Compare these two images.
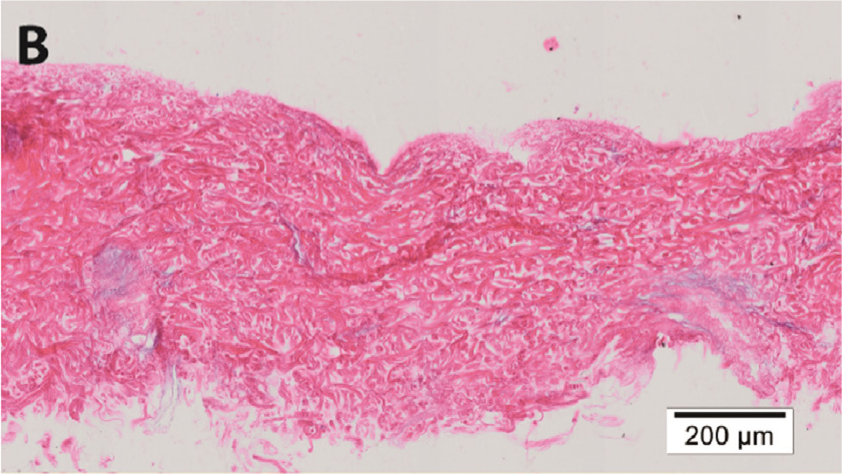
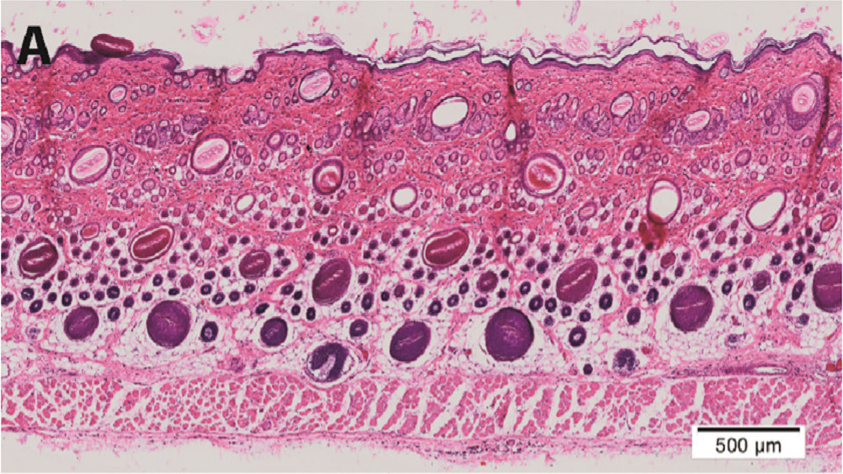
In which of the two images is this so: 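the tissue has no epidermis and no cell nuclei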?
The first image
